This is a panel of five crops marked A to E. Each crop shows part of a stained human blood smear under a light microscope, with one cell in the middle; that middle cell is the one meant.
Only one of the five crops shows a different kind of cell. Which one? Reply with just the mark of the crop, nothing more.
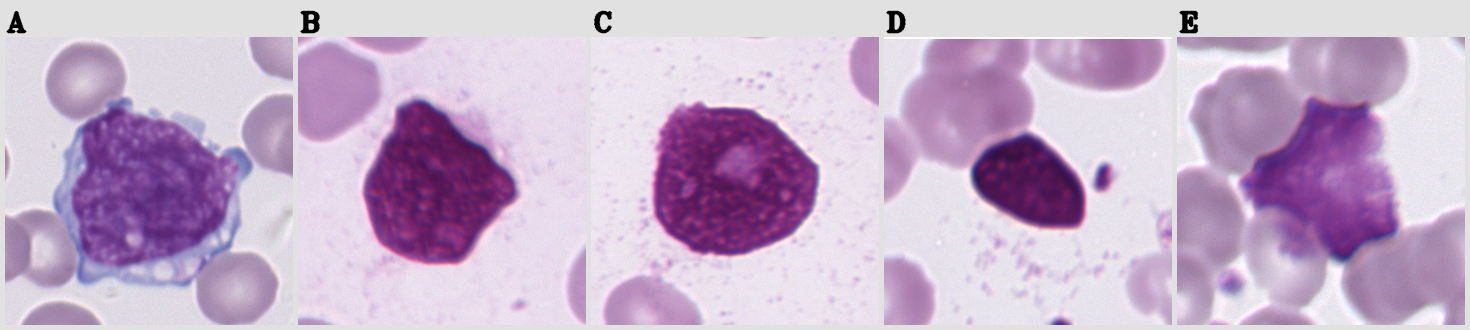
A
